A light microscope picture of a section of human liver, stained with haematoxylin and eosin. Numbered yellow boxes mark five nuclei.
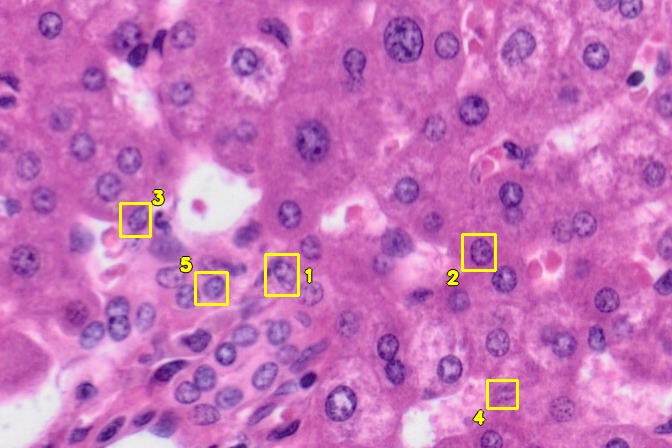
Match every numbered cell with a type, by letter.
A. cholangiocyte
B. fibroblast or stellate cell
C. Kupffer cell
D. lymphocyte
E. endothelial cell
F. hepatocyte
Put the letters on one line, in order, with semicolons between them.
A; F; A; F; A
